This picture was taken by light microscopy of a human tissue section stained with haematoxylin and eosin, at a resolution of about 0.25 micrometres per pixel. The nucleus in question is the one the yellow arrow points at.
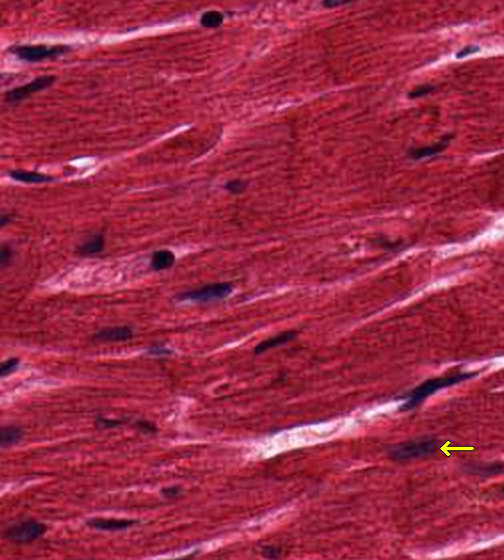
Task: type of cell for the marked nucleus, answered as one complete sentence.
The marked nucleus belongs to a cardiomyocyte.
